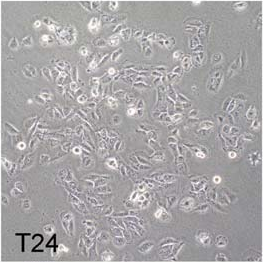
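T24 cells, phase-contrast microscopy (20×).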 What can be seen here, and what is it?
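These cultured cells have a polygonal, epithelial form, each flat cell spreading with several straight or gently curved sides. The cells gather in loose clusters and small sheets with gaps of empty dish between them. A few bright, rounded cells sit scattered among the flat ones.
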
